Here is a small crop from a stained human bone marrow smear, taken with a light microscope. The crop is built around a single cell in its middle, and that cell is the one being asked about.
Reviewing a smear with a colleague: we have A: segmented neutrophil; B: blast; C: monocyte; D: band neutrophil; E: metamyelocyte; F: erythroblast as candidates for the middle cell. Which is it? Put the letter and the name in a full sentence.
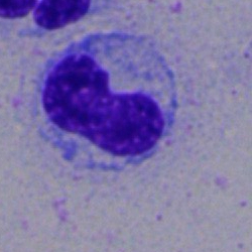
At the centre of the crop lies a band neutrophil, which makes option D correct.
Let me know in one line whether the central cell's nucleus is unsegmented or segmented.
In this cell the nucleus is a solitary compact mass, round, oval or kidney-shaped.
